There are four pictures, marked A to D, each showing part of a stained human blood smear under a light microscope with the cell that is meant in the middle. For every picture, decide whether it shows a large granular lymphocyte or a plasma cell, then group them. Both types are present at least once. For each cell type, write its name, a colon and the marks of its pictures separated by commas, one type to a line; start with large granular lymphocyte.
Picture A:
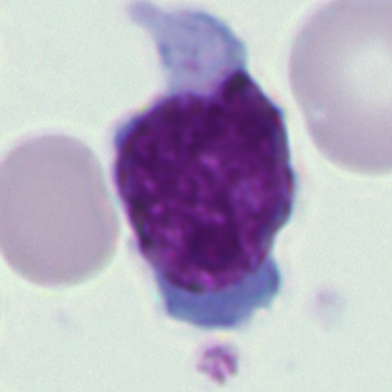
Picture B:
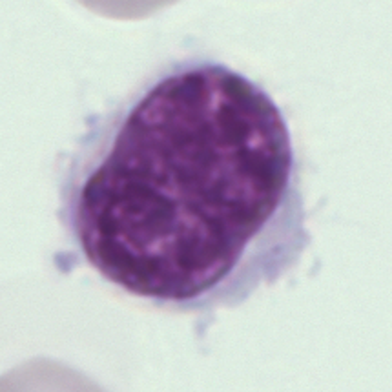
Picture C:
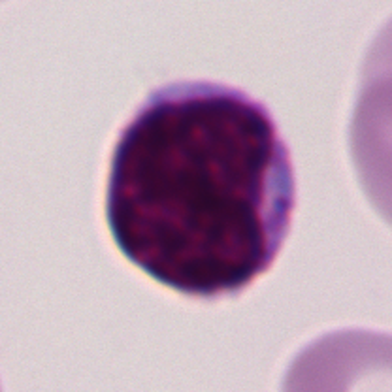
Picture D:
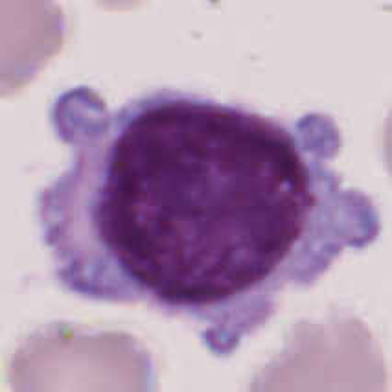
large granular lymphocyte: C
plasma cell: A, B, D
